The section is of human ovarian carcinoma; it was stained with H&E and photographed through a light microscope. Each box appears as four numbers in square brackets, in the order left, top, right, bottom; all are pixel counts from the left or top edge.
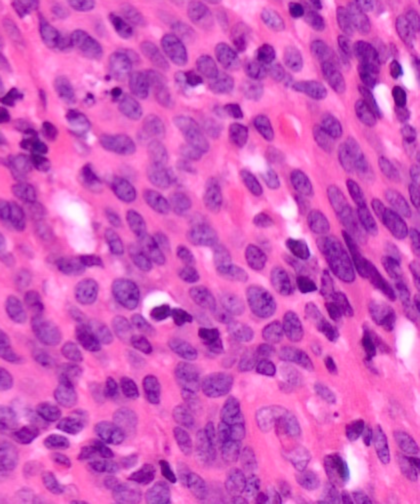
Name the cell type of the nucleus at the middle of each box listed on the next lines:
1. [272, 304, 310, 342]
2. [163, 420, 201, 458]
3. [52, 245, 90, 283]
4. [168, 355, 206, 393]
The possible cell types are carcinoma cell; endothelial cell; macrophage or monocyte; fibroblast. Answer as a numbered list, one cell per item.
1. carcinoma cell
2. carcinoma cell
3. macrophage or monocyte
4. carcinoma cell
